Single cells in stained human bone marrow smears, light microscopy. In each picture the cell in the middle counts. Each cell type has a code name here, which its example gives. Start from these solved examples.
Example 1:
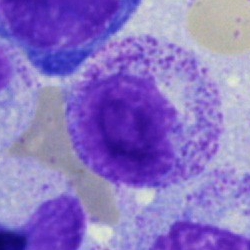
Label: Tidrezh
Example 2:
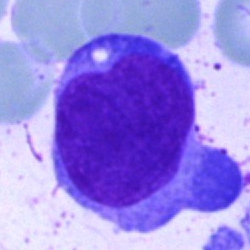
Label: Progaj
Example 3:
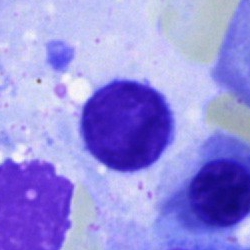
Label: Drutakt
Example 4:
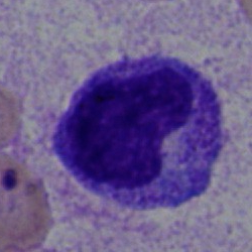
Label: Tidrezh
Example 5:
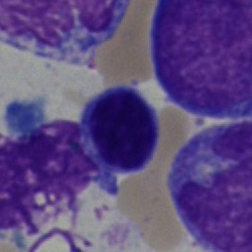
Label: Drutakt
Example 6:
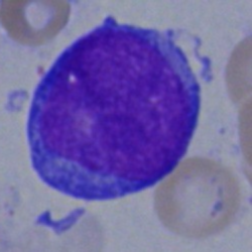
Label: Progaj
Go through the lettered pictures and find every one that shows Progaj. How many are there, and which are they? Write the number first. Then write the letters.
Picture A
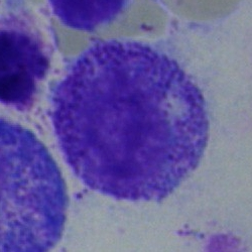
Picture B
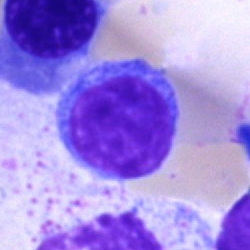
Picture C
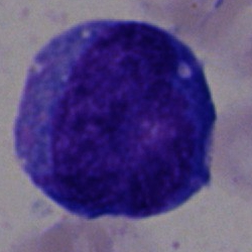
1, namely C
